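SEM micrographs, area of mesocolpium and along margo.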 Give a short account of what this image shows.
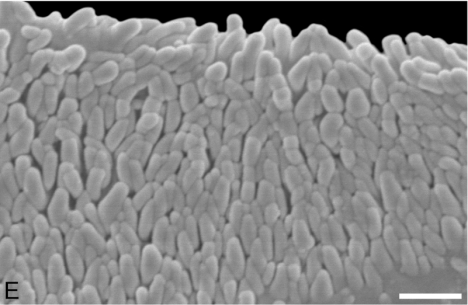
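This close-up of a pollen grain wall shows a surface sculpturing made of many small, densely packed rod-like elements. The rods have rounded ends. Near the upper edge of the grain they stand out against the dark background, and there they look like short projections. Lower down they lie closely side by side and are oriented roughly in one direction across the surface.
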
